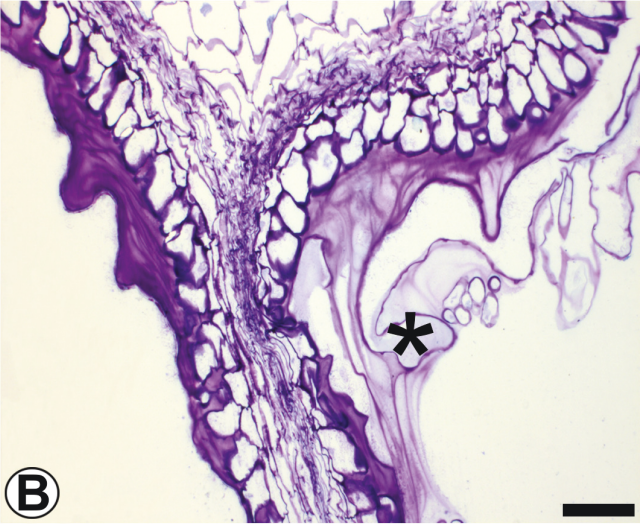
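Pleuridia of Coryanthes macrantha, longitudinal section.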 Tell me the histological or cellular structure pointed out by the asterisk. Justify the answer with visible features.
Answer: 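Mucilaginous content. The asterisk sits in pale violet, amorphous material lying outside the cell layer. The material has no cell walls of its own and holds a few rounded detached bodies.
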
